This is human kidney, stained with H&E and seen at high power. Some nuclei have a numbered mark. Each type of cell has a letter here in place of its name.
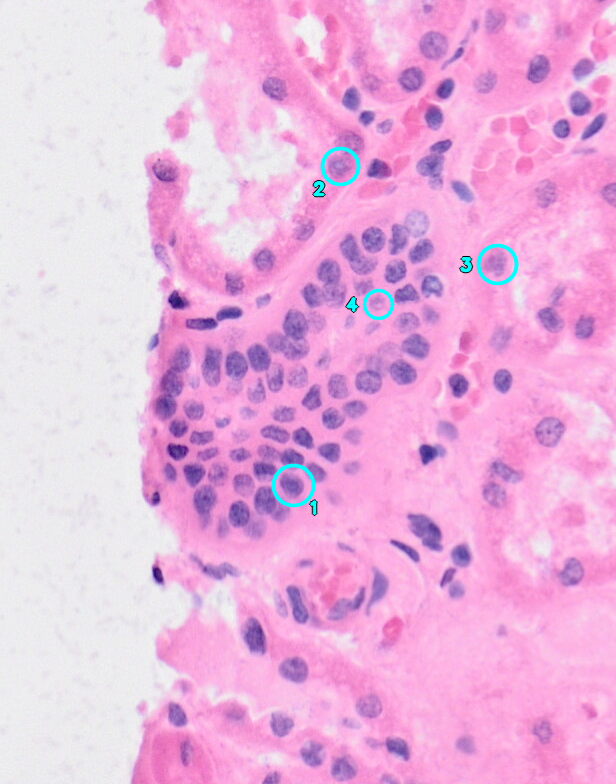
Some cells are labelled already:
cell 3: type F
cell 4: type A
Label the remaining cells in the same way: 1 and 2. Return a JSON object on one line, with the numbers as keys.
{"1": "type A", "2": "type F"}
